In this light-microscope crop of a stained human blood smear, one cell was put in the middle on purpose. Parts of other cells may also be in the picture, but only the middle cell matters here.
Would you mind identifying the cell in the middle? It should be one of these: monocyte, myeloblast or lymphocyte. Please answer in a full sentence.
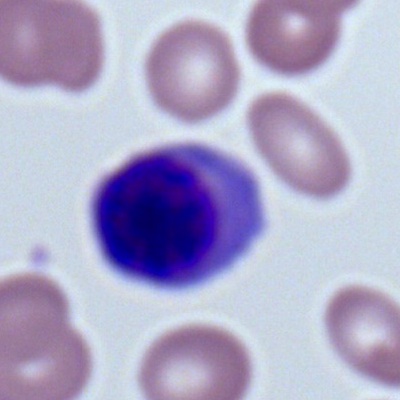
The cell in the exact centre of the crop is a lymphocyte.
